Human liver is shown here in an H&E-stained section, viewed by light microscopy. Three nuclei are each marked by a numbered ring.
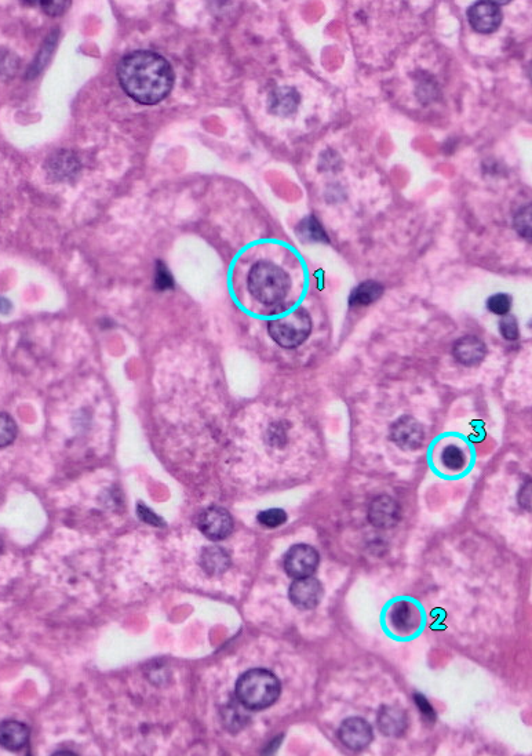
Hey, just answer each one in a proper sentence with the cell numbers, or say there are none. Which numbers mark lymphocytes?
Of all the numbered cells, only cell 3 is a lymphocyte.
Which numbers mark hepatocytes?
Cell 1 alone, of all the numbered cells, is a hepatocyte.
